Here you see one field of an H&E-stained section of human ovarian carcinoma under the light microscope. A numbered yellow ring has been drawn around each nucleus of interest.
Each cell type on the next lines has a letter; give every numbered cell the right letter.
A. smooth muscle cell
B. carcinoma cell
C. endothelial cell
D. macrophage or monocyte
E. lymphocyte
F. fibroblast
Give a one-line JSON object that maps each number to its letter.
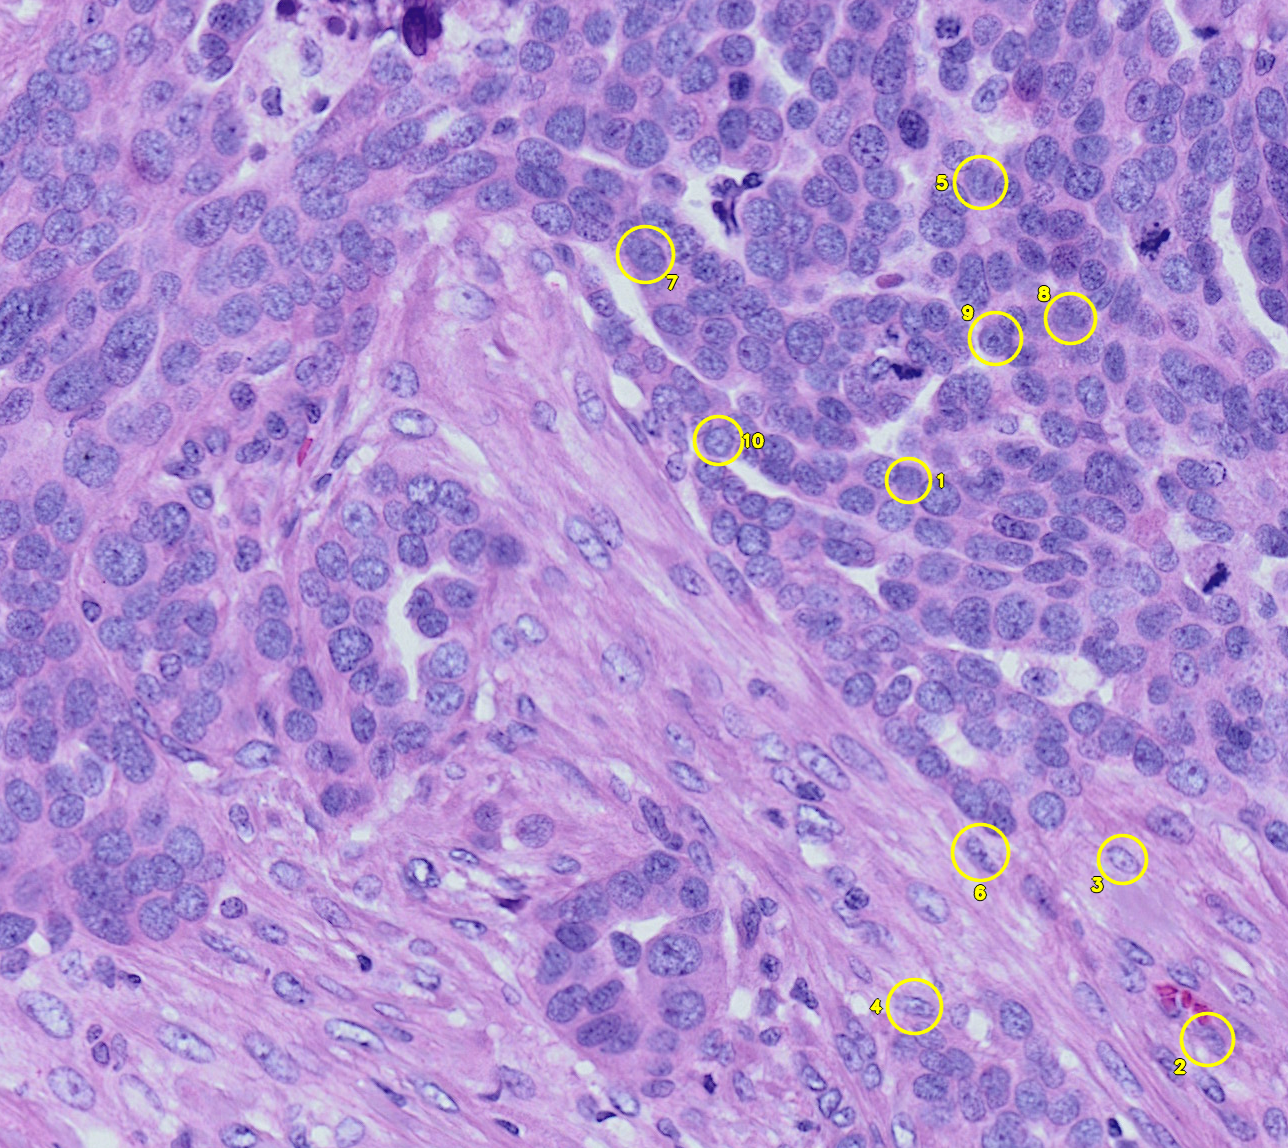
{"1": "B", "2": "C", "3": "F", "4": "F", "5": "B", "6": "F", "7": "B", "8": "B", "9": "B", "10": "B"}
